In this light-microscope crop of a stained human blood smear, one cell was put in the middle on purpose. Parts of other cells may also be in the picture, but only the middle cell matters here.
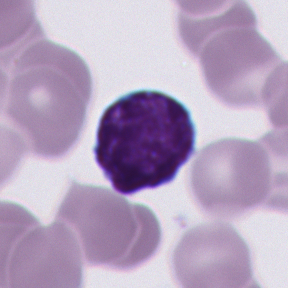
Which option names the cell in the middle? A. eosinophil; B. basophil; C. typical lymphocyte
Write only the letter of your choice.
C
